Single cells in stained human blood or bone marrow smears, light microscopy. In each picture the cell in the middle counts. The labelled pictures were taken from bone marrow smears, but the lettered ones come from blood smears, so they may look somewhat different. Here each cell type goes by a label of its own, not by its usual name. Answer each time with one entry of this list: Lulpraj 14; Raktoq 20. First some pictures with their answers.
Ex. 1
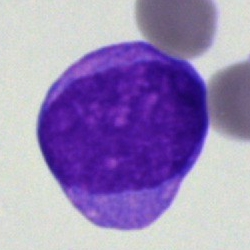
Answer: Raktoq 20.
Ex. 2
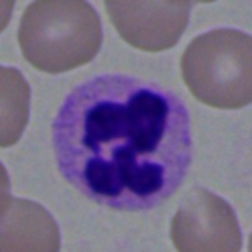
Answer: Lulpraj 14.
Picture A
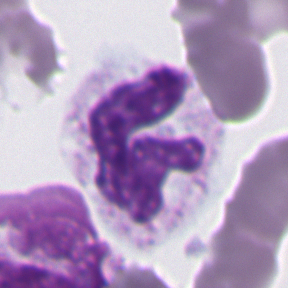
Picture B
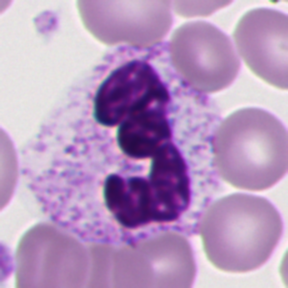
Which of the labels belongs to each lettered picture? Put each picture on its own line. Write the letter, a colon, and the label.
A: Lulpraj 14.
B: Lulpraj 14.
